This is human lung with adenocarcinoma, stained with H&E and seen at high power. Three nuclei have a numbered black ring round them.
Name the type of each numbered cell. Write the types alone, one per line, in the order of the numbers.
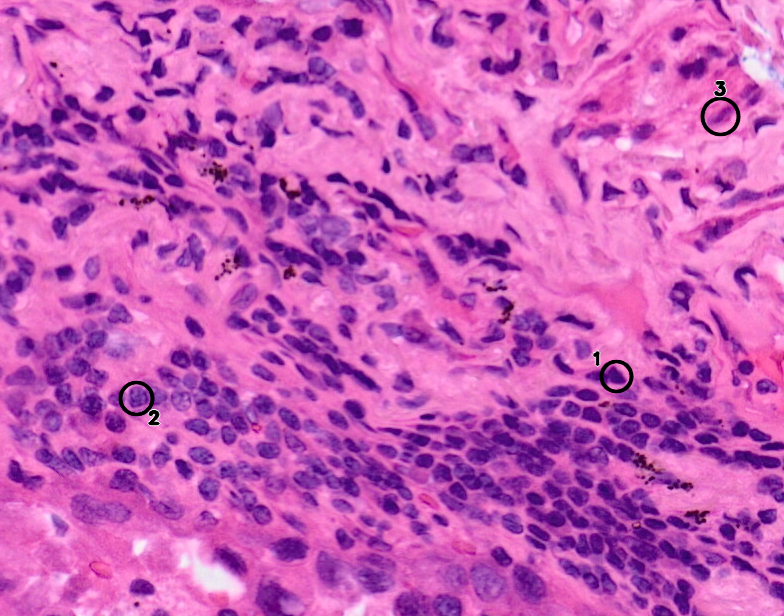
lymphocyte
lymphocyte
smooth muscle cell or pericyte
